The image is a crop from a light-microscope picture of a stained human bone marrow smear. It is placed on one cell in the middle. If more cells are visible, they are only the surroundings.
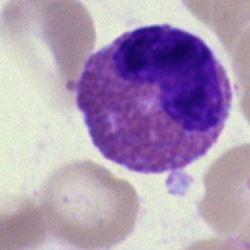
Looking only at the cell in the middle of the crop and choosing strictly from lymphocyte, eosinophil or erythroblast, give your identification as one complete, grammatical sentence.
The cell found in the middle of this crop is an eosinophil.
